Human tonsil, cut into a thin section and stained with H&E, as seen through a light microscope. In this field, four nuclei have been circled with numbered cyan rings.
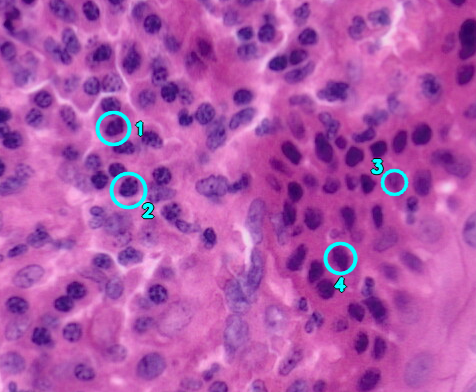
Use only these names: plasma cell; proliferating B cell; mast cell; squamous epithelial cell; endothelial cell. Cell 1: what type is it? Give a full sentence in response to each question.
Heads up, the cell numbered 1 is a plasma cell.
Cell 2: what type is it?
The cell assigned the number 2 is a plasma cell.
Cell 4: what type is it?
The mark numbered 4 indicates the nucleus of a squamous epithelial cell.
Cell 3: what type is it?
The cell indicated by marker 3 is a squamous epithelial cell in this section.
